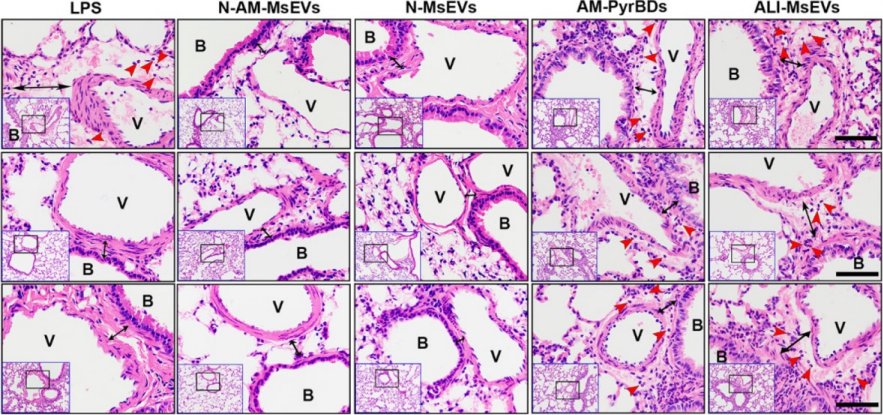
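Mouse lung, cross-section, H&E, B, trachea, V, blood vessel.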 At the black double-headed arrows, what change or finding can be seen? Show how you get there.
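Interstitial edema. The black double-headed arrows span the pale tissue between an airway and a vessel. In some tiles this tissue is widened, loose and pale pink.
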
